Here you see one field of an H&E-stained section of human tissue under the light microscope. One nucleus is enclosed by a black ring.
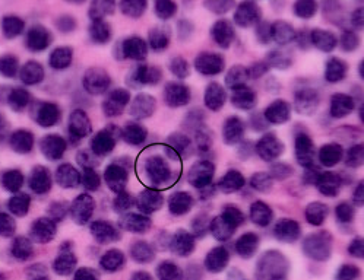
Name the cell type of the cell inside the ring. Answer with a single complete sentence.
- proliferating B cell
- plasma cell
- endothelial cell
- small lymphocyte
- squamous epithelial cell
The correct response here is that the cell inside the ring is a small lymphocyte.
